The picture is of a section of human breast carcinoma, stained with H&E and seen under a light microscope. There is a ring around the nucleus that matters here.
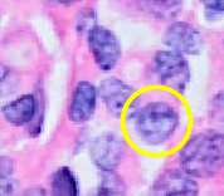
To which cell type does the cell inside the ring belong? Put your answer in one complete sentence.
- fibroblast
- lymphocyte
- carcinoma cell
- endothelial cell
In cell-type terms, the cell inside the ring is a carcinoma cell.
